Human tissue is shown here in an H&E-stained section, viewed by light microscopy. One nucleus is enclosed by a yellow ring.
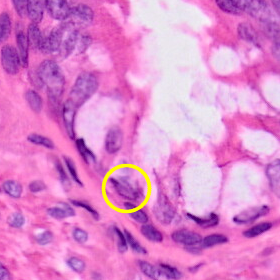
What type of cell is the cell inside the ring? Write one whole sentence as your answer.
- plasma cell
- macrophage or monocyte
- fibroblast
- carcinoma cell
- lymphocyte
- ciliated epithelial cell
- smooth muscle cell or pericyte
As far as its identity is concerned, the cell inside the ring is a ciliated epithelial cell.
